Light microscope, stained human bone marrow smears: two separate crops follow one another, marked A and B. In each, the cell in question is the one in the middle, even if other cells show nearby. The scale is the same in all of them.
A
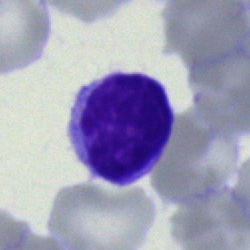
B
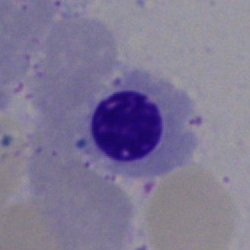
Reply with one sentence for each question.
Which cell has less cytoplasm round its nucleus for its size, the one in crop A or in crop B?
It is the cell in crop A that is filled more by its nucleus.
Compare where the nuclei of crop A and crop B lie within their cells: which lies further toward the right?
It is the nucleus in crop A that lies further toward the right of its cell.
